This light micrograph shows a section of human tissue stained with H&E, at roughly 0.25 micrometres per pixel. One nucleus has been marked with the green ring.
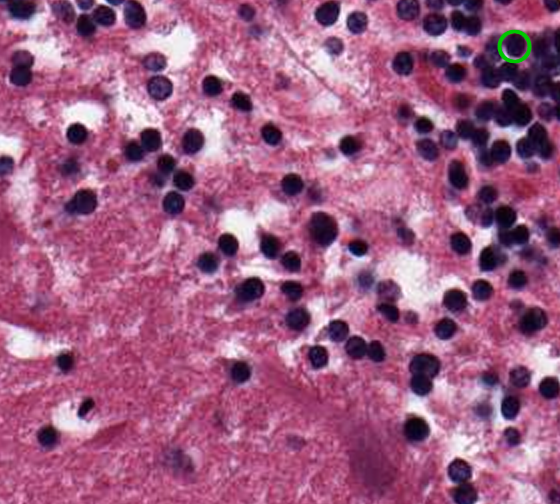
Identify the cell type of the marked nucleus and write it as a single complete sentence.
The nucleus marked in this picture belongs to a cerebellar granule cell.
